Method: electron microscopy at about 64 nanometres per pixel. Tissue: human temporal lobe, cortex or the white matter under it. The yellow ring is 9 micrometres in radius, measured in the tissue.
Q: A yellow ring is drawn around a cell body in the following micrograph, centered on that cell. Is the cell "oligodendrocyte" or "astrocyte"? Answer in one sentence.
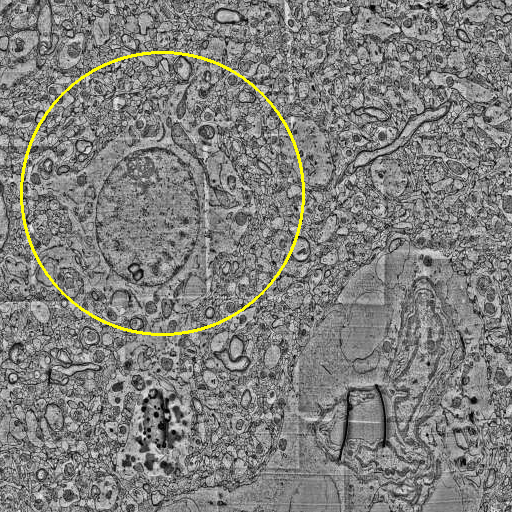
The cell in the center of the ring is an astrocyte.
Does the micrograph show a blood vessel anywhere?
Yes, the picture includes a blood vessel.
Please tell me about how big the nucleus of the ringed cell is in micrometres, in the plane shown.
In this plane the nucleus is about 9 micrometres by 7.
